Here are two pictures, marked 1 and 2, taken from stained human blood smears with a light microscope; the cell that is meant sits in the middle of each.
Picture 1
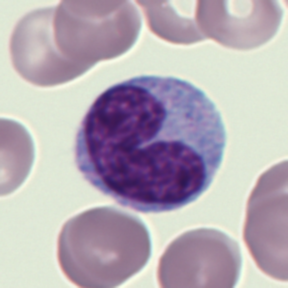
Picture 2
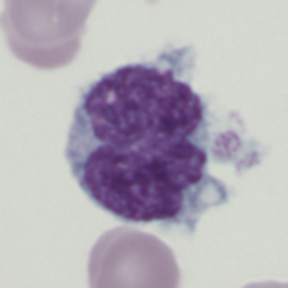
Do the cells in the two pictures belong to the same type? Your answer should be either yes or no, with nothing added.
yes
